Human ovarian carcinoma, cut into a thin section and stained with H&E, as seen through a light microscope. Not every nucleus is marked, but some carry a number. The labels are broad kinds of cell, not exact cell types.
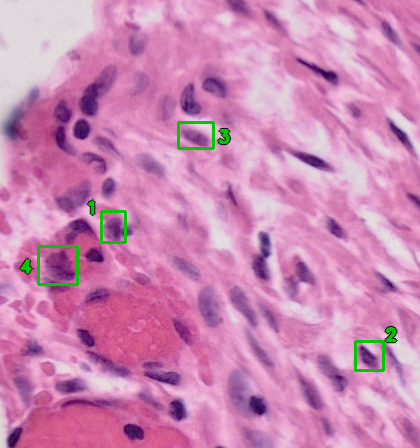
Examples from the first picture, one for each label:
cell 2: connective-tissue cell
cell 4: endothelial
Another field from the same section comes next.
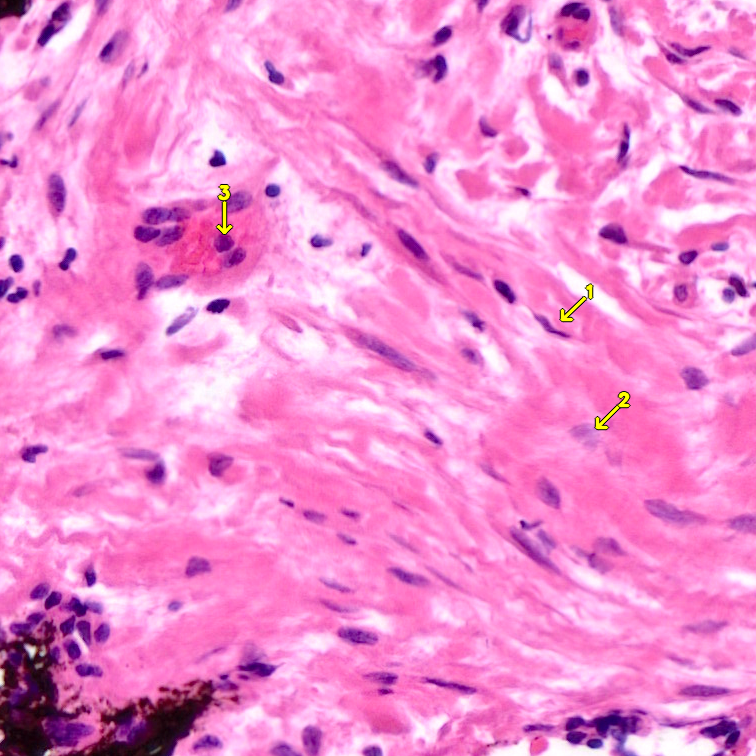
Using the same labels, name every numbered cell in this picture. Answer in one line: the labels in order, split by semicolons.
connective-tissue cell; connective-tissue cell; endothelial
